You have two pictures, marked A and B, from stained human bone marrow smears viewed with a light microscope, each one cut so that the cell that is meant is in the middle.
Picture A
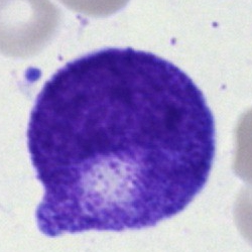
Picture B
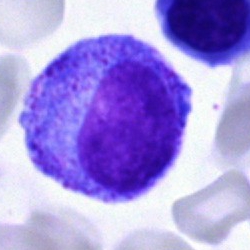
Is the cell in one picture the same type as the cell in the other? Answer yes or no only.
yes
